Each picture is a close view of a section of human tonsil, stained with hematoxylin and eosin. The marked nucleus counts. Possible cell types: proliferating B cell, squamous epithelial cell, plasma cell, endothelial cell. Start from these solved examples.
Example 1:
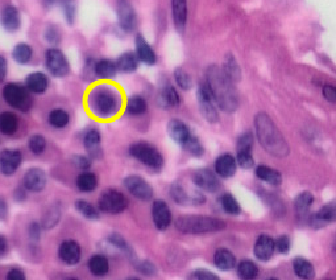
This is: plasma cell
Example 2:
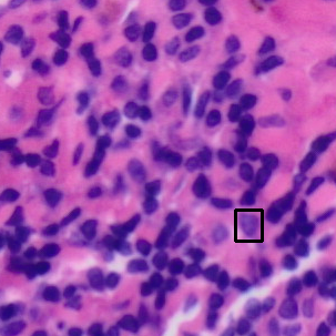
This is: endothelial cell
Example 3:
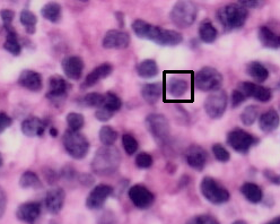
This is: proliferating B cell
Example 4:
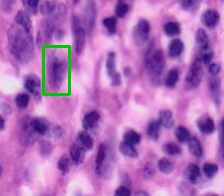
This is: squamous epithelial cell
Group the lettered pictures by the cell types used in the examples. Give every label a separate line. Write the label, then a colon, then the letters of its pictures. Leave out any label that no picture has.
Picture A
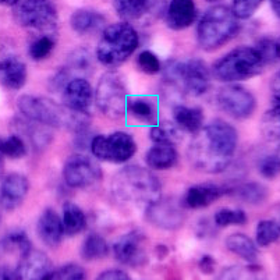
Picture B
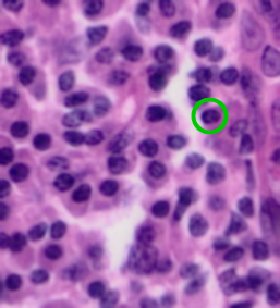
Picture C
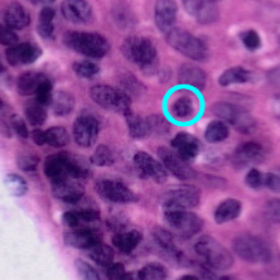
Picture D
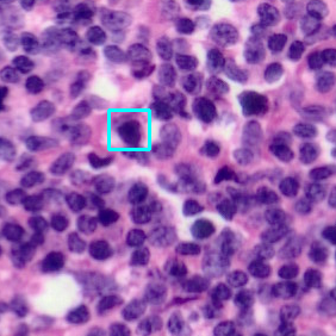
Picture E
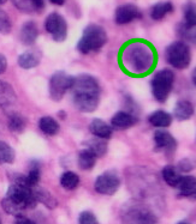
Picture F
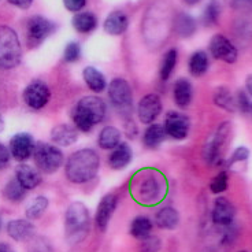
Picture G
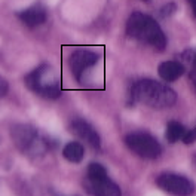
proliferating B cell: A, D, E
squamous epithelial cell: C, G
plasma cell: B
endothelial cell: F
